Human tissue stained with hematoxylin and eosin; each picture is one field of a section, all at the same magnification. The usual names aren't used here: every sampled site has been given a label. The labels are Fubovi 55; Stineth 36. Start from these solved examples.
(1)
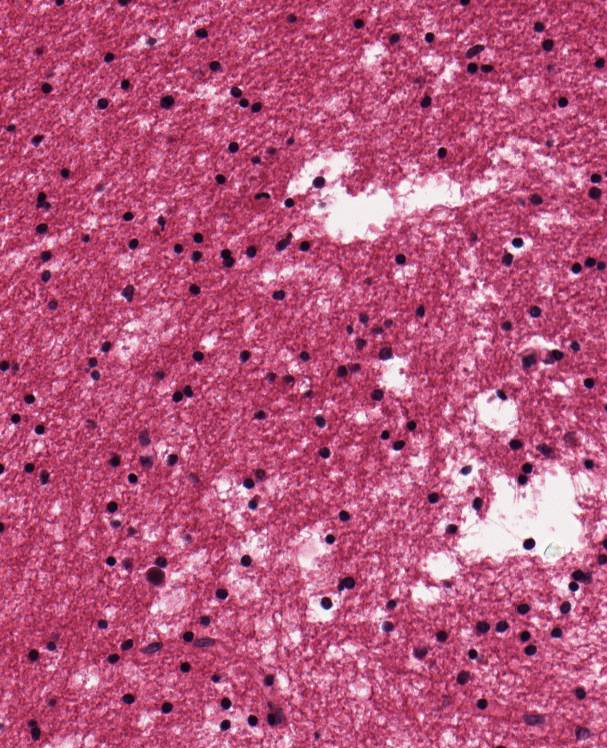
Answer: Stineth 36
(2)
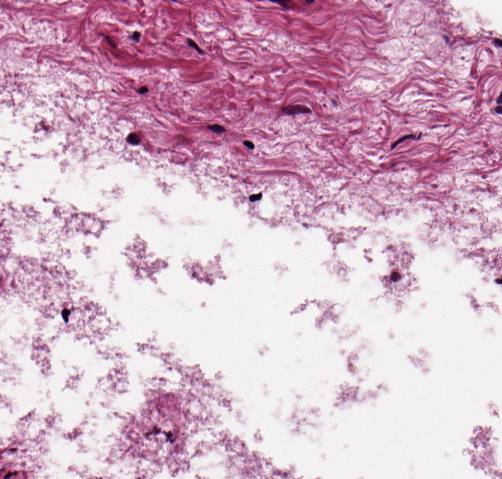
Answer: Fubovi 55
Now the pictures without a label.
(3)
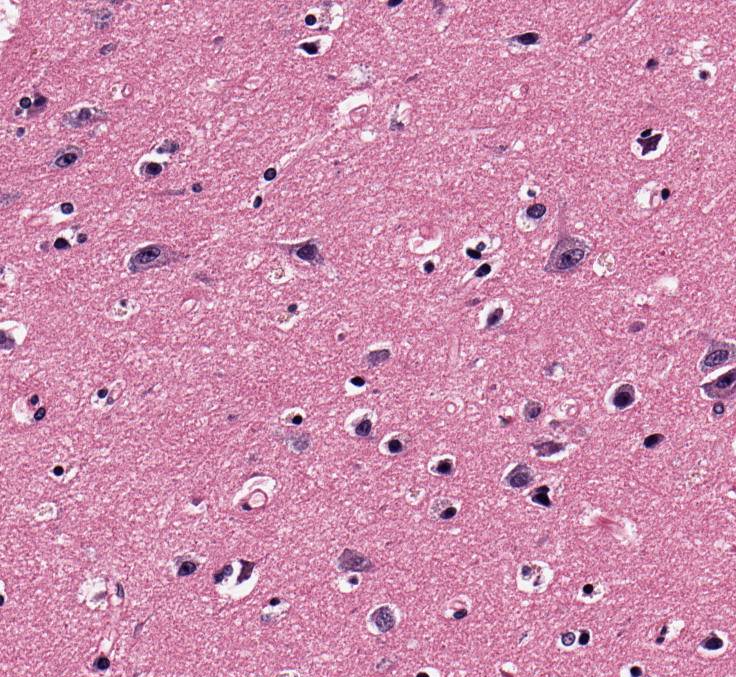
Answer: Stineth 36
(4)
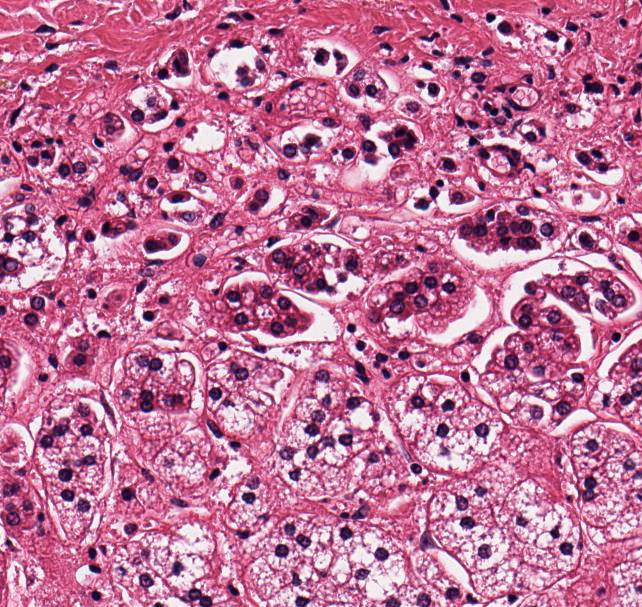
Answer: Fubovi 55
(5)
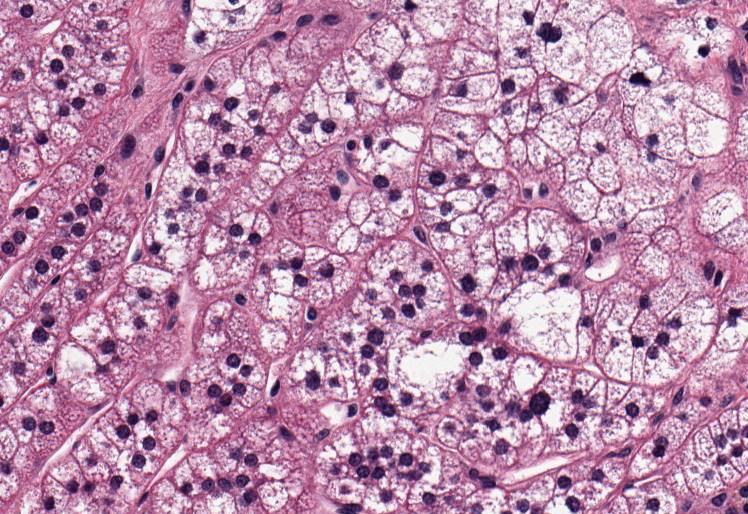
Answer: Fubovi 55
